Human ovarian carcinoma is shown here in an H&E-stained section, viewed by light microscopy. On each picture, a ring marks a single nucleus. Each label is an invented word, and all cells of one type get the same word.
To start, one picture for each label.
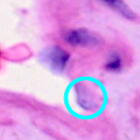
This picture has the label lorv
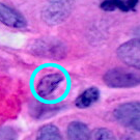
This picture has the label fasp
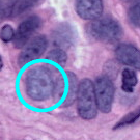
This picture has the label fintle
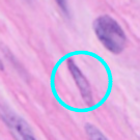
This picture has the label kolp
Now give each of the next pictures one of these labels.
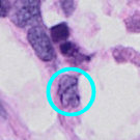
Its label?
fasp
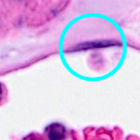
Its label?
lorv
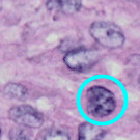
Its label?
fasp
